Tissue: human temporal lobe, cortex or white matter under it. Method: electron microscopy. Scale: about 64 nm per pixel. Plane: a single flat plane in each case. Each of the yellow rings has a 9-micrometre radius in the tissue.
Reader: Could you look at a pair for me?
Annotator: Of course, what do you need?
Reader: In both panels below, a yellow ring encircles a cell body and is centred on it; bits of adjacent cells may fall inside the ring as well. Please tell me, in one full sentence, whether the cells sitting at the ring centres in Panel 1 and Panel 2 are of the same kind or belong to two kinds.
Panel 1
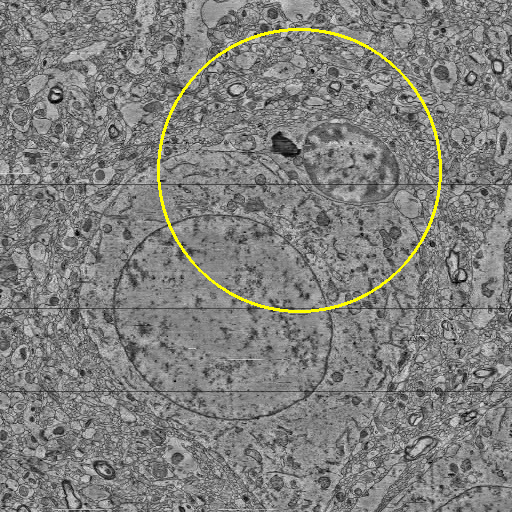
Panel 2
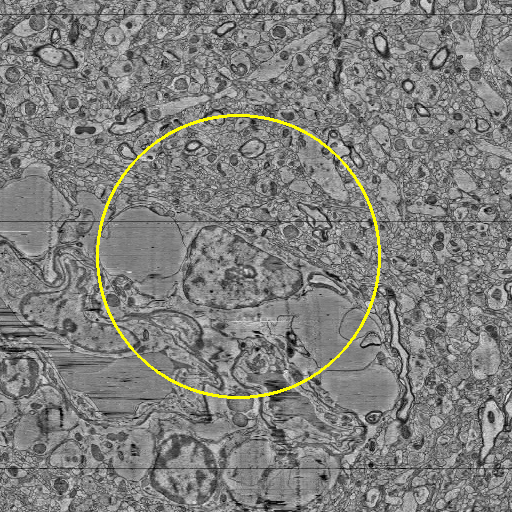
The cell at the ring's centre in Panel 1 and the one in Panel 2 belong to two kinds.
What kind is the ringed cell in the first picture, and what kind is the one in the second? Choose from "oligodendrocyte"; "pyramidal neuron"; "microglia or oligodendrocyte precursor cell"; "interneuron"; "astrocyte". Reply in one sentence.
The first cell is an oligodendrocyte; the second is a microglial cell or oligodendrocyte precursor cell.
